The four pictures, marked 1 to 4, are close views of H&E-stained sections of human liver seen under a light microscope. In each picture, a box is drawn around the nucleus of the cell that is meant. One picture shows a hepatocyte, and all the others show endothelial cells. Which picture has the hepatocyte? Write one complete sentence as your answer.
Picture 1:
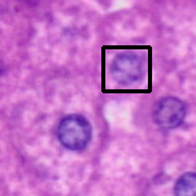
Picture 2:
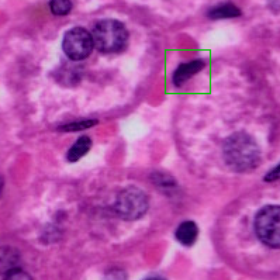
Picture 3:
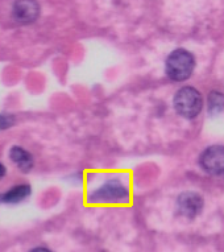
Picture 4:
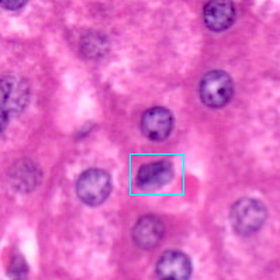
Picture 1 is the one that shows the hepatocyte.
